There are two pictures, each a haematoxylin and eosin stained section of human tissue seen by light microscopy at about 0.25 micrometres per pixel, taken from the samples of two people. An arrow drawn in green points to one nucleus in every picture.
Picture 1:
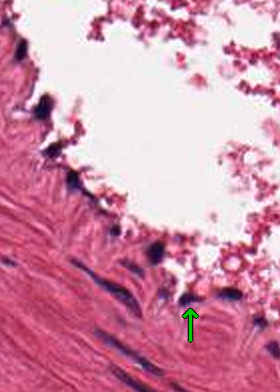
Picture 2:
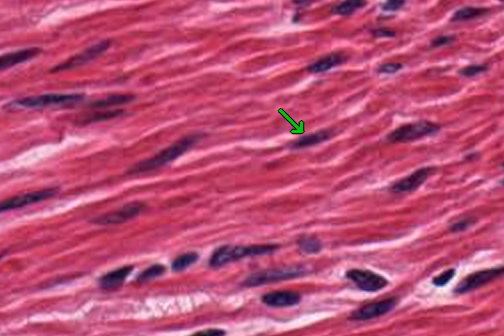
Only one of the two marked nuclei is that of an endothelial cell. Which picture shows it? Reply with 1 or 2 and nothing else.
1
